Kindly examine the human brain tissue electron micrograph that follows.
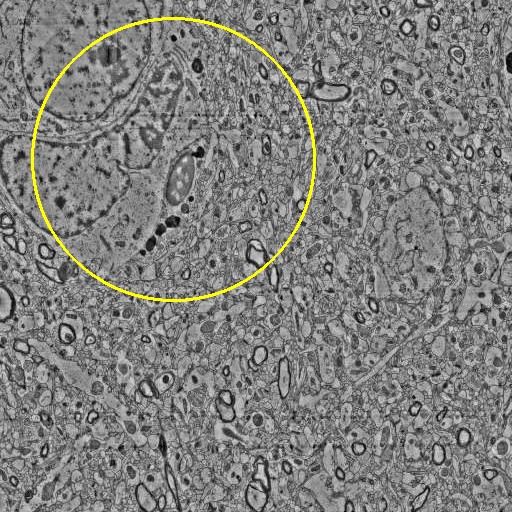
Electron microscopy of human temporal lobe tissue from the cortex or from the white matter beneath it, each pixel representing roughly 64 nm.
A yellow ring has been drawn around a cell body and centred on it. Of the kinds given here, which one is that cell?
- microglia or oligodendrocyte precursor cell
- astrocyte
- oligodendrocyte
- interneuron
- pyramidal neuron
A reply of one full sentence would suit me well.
The micrograph's ringed cell, the one at the ring's centre, is a microglial cell or oligodendrocyte precursor cell.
